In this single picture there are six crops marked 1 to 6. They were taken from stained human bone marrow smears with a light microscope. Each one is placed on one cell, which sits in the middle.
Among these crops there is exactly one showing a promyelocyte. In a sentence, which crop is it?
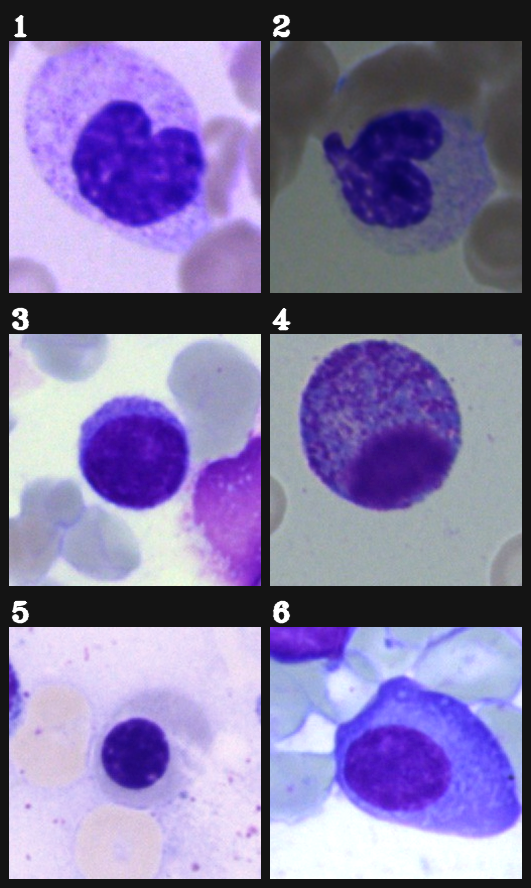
The one that shows a promyelocyte is crop 4.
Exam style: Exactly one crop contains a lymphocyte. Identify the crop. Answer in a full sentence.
Of the cells presented, the one in crop 3 is a lymphocyte.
